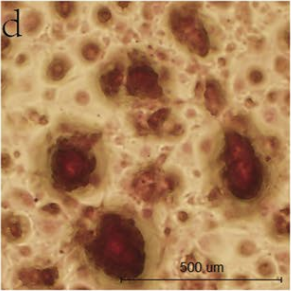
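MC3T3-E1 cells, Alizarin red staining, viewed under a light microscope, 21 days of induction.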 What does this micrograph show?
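This is a cultured cell layer on a pale yellowish background. Several rounded, raised foci are stained dark red to brown-red, each with a darker centre and a lighter rim. Smaller, paler pink-red rounded spots lie scattered between these foci.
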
